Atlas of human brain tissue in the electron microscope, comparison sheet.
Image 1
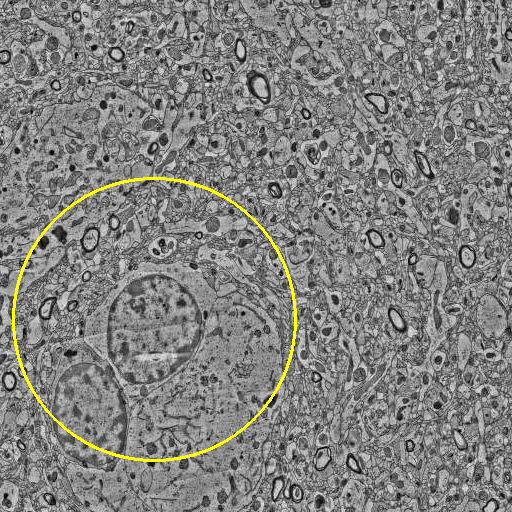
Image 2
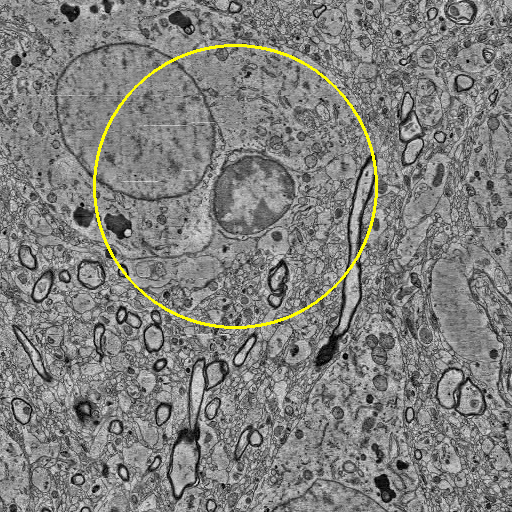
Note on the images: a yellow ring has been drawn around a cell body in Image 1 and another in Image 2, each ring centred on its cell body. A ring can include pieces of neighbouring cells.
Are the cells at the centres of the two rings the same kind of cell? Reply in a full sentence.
Yes, both cells are of the same kind.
